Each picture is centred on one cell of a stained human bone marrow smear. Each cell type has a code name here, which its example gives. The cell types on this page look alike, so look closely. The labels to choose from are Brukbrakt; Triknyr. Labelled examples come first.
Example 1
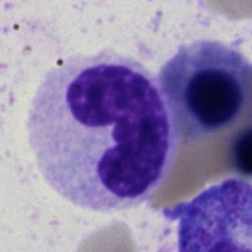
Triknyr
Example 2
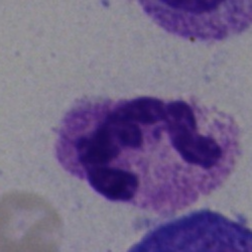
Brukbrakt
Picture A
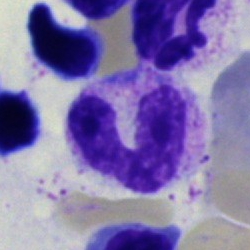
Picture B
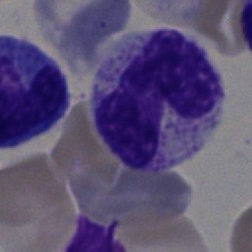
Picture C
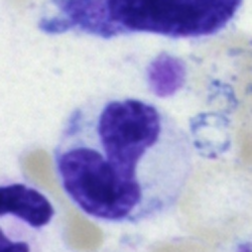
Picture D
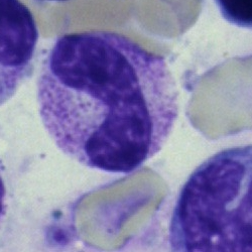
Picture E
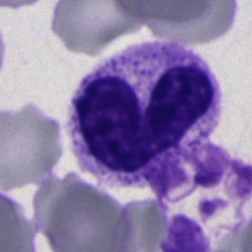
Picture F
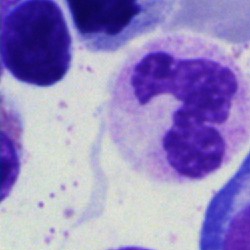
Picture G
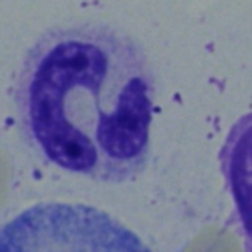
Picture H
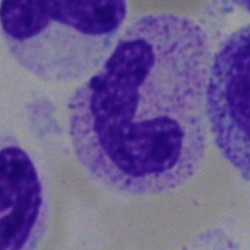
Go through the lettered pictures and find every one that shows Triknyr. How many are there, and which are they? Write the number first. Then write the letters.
5, namely A, B, C, D, E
